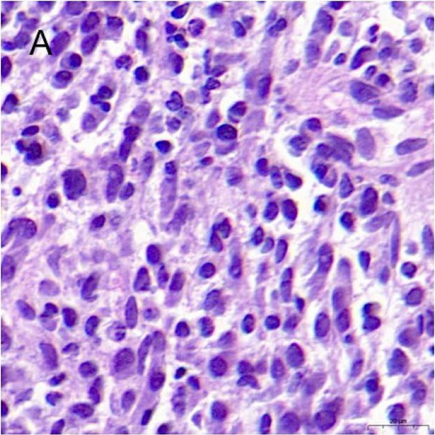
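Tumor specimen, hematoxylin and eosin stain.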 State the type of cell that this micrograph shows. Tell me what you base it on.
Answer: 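Spindle-shaped cells. Many nuclei are elongated or ovoid rather than round. Cells lie in loose streaming groups within pink stroma. Nuclei vary in size and shape.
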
